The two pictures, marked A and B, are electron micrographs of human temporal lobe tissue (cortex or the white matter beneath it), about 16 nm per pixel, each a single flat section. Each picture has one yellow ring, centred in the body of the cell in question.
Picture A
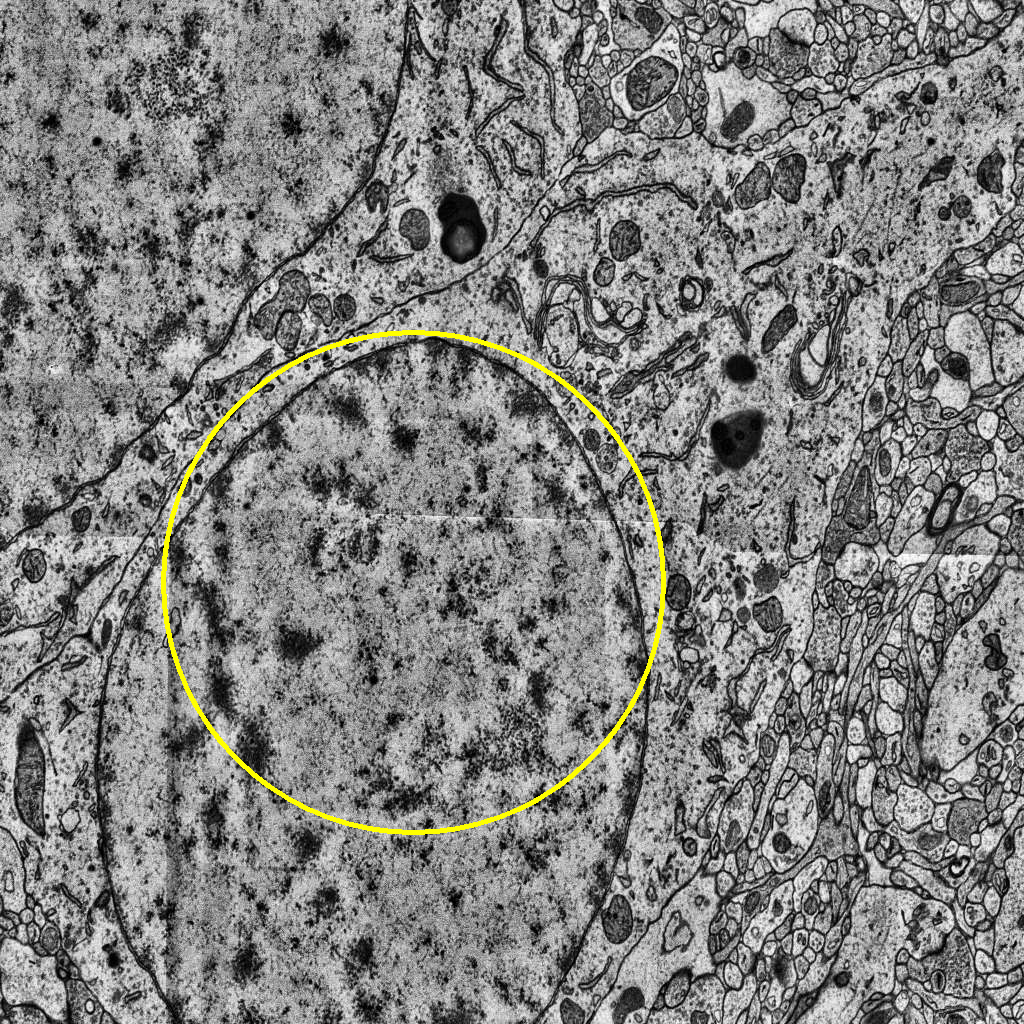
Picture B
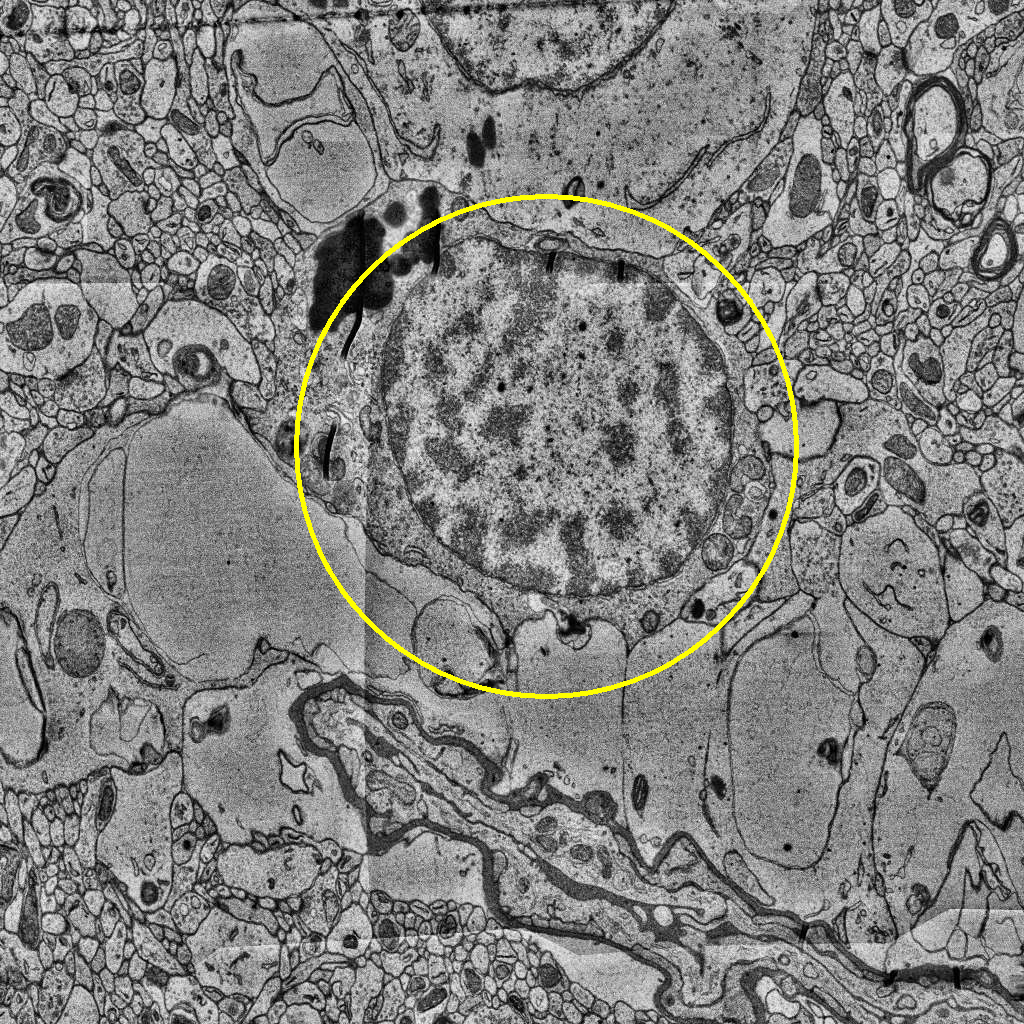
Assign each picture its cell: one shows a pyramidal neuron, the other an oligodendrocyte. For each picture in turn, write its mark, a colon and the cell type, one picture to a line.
A: pyramidal neuron
B: oligodendrocyte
